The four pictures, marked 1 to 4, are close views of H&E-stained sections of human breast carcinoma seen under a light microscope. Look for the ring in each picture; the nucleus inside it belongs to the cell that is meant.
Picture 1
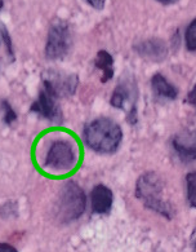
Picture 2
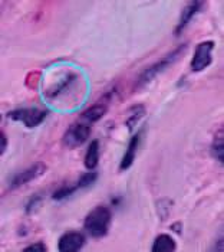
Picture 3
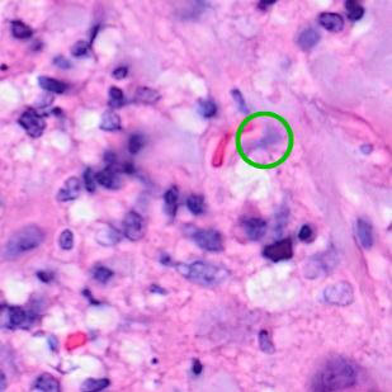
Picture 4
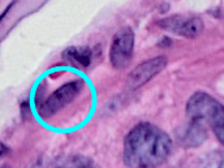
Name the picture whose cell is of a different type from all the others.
1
